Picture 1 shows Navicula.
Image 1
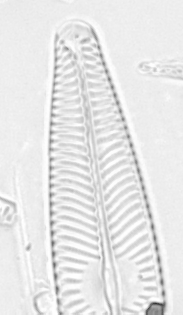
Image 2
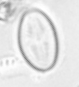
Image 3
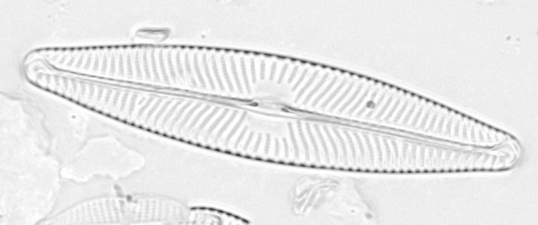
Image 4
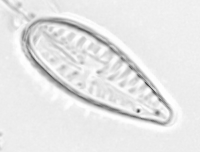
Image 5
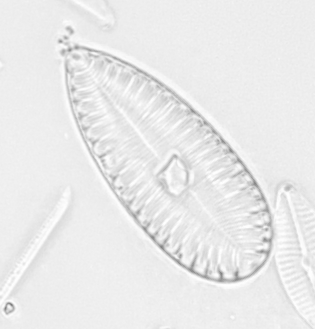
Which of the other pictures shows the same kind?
Picture 3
